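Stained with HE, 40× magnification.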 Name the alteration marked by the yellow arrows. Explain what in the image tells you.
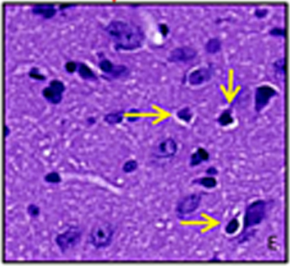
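The marked cells are small, angular and very darkly stained. The marked cells are surrounded by a clear empty space.
Shrinkage and necrosis.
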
